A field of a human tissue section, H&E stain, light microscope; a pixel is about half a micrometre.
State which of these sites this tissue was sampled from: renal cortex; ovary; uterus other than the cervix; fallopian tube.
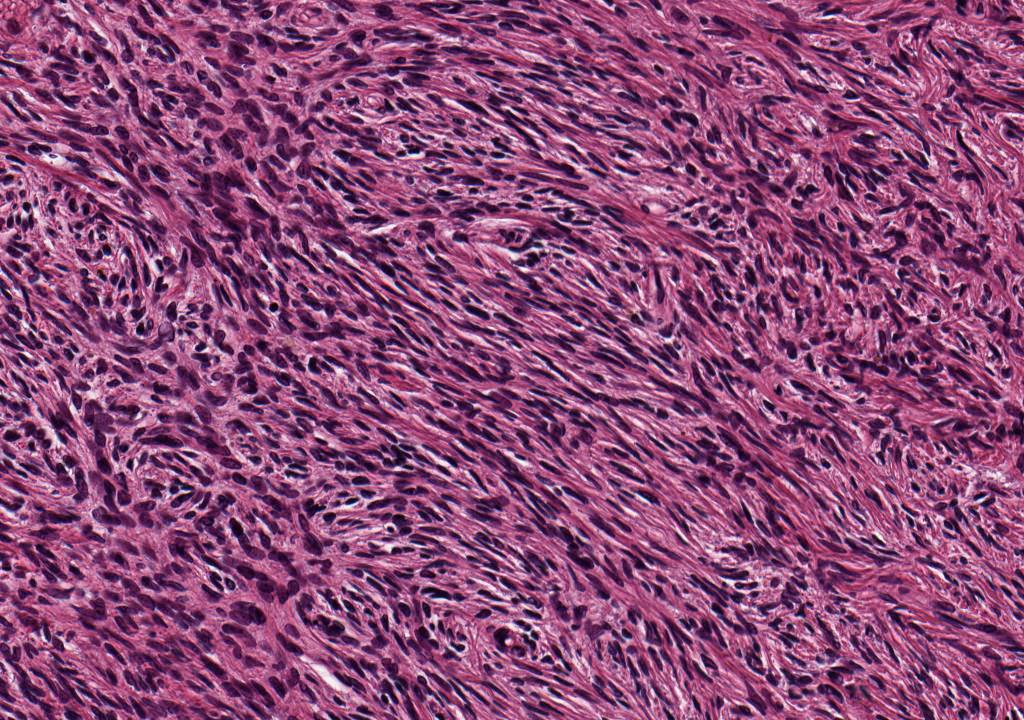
ovary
